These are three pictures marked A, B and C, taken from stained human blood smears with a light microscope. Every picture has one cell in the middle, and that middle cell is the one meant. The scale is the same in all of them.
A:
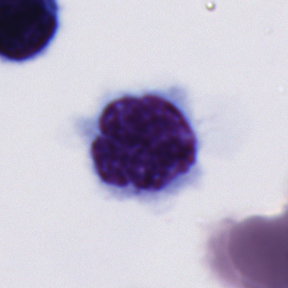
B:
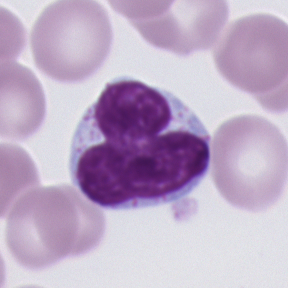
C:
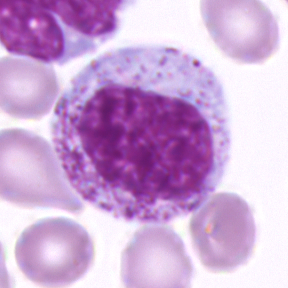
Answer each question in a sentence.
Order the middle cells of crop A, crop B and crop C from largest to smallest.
The order is C, B, A, beginning with the largest.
